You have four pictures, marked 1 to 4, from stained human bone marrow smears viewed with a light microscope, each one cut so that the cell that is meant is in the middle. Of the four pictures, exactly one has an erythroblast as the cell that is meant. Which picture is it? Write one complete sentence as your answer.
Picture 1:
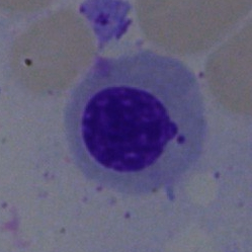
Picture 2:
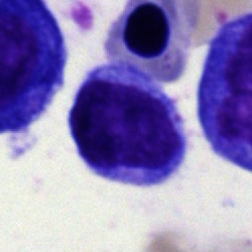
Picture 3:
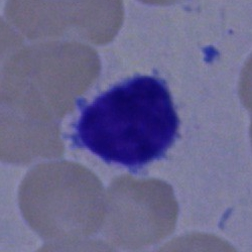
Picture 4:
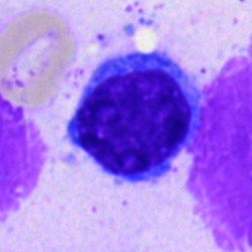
The picture with the erythroblast is 1.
